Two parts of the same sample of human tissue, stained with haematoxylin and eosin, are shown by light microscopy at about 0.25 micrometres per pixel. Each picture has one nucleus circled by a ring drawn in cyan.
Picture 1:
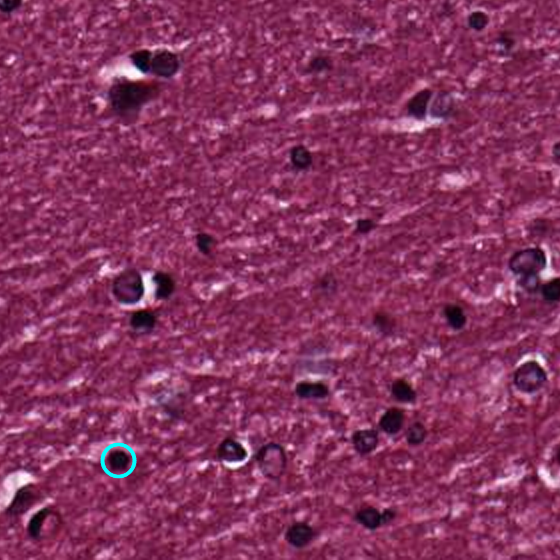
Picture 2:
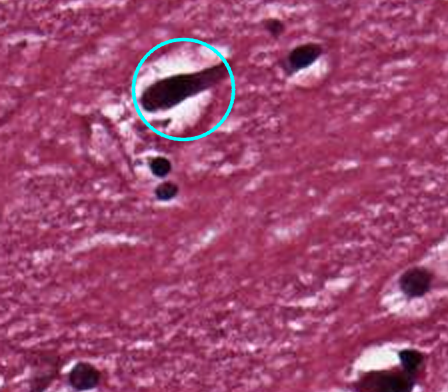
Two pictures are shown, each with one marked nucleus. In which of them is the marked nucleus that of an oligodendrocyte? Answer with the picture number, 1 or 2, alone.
1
